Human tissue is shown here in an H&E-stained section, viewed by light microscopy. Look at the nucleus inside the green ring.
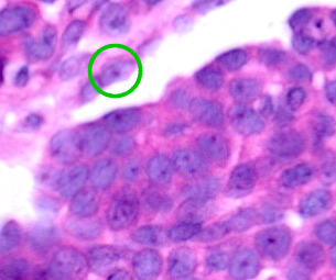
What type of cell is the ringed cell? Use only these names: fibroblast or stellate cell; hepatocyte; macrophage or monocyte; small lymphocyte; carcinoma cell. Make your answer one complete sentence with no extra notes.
So far as cell type goes, the ringed cell is a carcinoma cell.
